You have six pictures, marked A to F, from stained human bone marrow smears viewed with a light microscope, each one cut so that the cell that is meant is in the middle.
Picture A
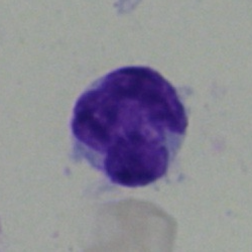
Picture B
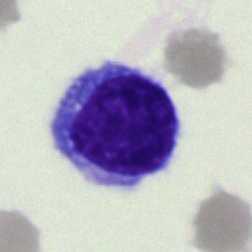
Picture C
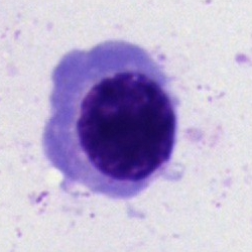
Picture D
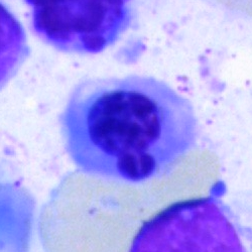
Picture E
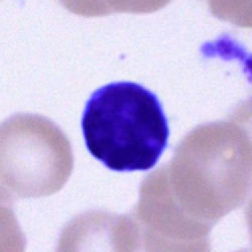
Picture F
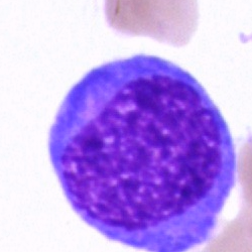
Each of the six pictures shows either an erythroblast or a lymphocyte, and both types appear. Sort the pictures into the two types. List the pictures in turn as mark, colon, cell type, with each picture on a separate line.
A: lymphocyte
B: lymphocyte
C: erythroblast
D: erythroblast
E: lymphocyte
F: erythroblast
